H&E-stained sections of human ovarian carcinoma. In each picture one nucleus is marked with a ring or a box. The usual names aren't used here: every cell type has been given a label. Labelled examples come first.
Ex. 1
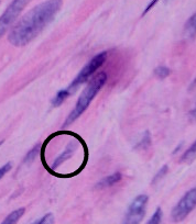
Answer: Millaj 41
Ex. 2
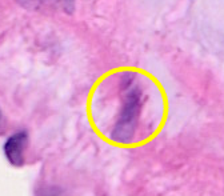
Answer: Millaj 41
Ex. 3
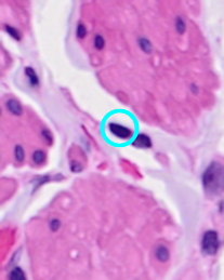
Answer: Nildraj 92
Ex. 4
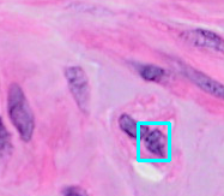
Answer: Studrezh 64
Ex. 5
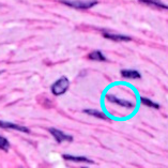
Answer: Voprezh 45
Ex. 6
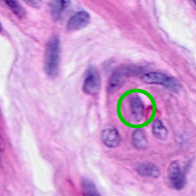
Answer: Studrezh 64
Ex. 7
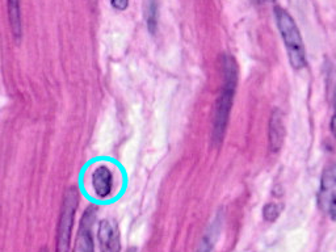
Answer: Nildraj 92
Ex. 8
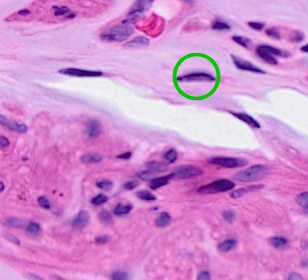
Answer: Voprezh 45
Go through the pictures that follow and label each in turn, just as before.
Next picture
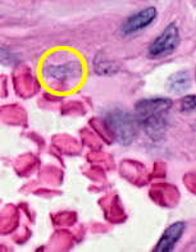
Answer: Studrezh 64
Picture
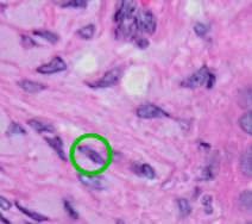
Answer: Voprezh 45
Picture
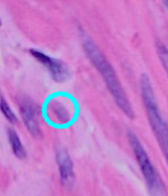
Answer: Millaj 41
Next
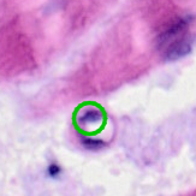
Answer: Studrezh 64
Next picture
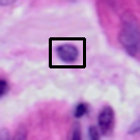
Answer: Nildraj 92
